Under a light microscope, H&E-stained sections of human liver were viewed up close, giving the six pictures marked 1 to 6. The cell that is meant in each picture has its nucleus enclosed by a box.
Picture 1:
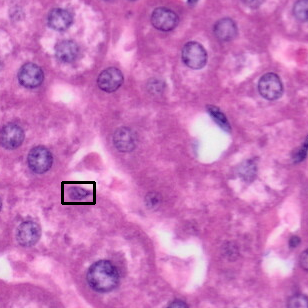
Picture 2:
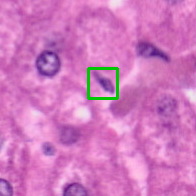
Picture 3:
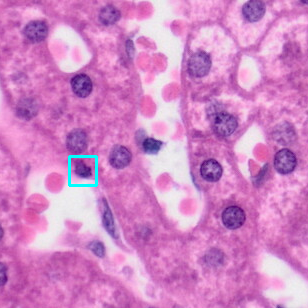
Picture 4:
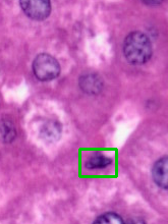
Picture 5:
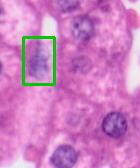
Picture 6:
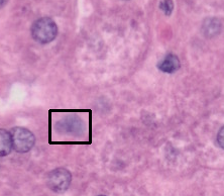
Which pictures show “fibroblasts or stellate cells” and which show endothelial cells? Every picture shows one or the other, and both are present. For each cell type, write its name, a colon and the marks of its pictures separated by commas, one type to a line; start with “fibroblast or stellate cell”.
fibroblast or stellate cell: 1, 3, 4
endothelial cell: 2, 5, 6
